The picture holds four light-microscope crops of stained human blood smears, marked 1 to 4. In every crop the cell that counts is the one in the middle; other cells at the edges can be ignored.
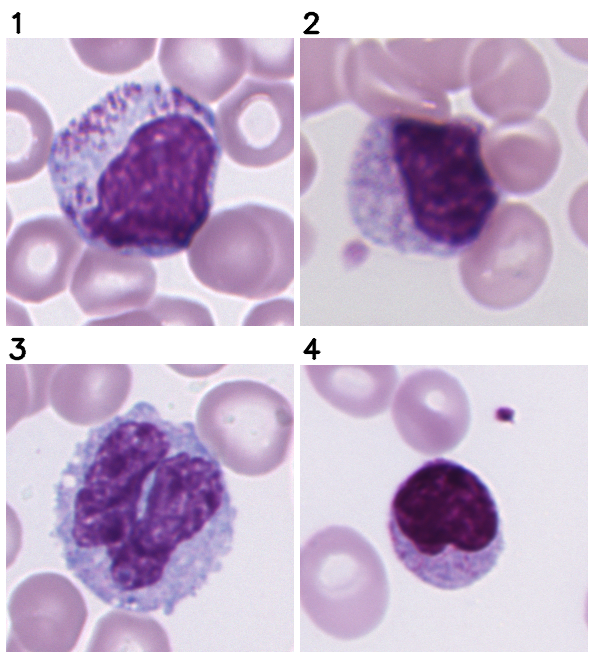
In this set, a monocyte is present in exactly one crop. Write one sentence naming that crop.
Among the crops provided, a monocyte occupies the center of crop 3.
